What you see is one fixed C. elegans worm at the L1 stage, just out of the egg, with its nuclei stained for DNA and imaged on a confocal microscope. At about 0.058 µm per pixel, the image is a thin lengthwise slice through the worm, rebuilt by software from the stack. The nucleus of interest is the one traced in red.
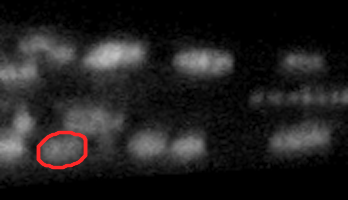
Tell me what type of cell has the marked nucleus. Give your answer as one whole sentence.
The marked cell is a seam cell.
